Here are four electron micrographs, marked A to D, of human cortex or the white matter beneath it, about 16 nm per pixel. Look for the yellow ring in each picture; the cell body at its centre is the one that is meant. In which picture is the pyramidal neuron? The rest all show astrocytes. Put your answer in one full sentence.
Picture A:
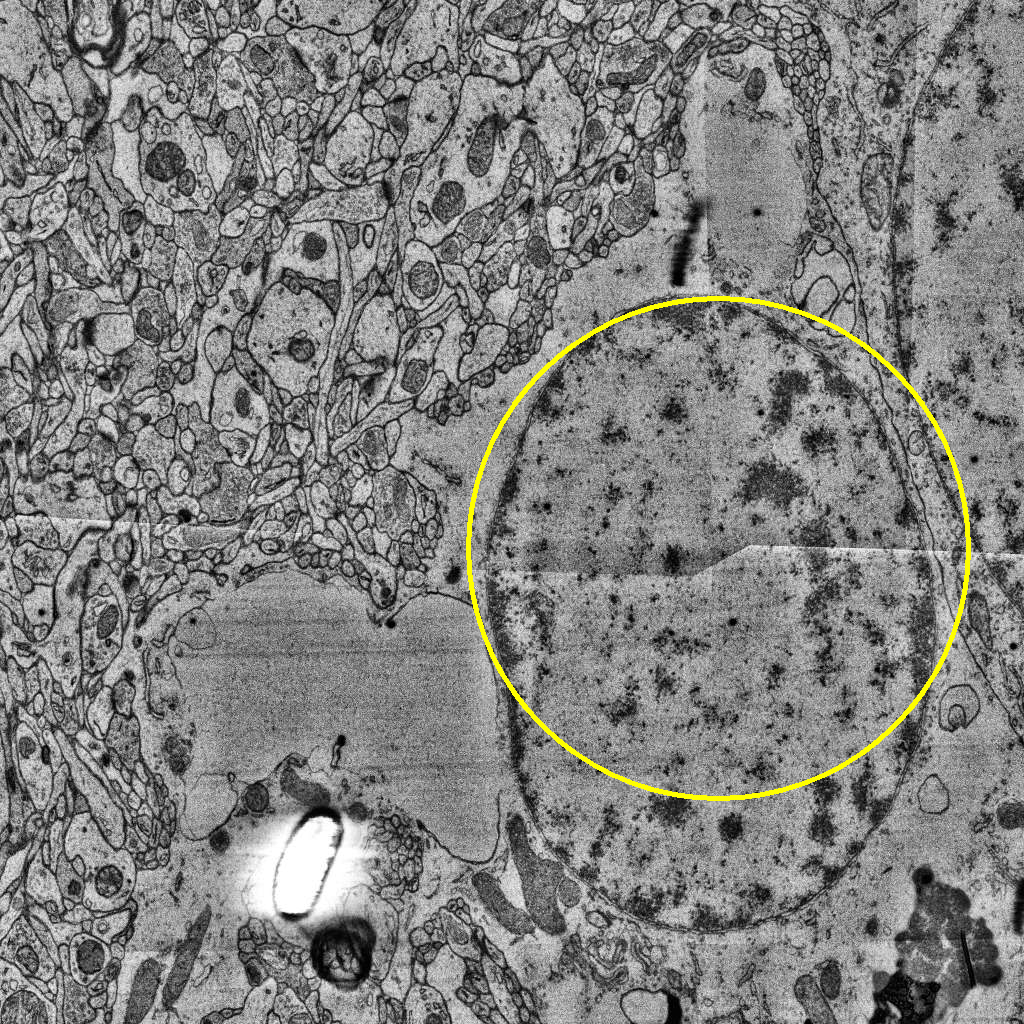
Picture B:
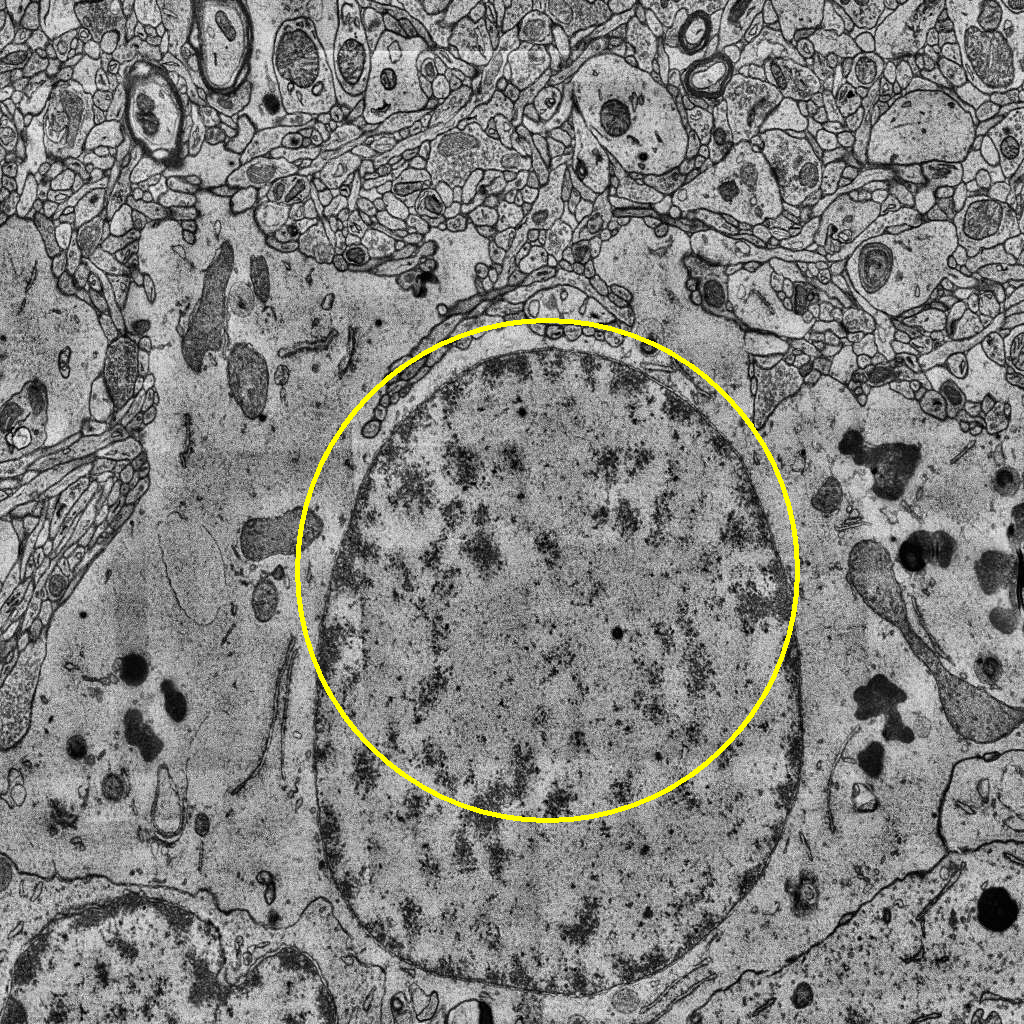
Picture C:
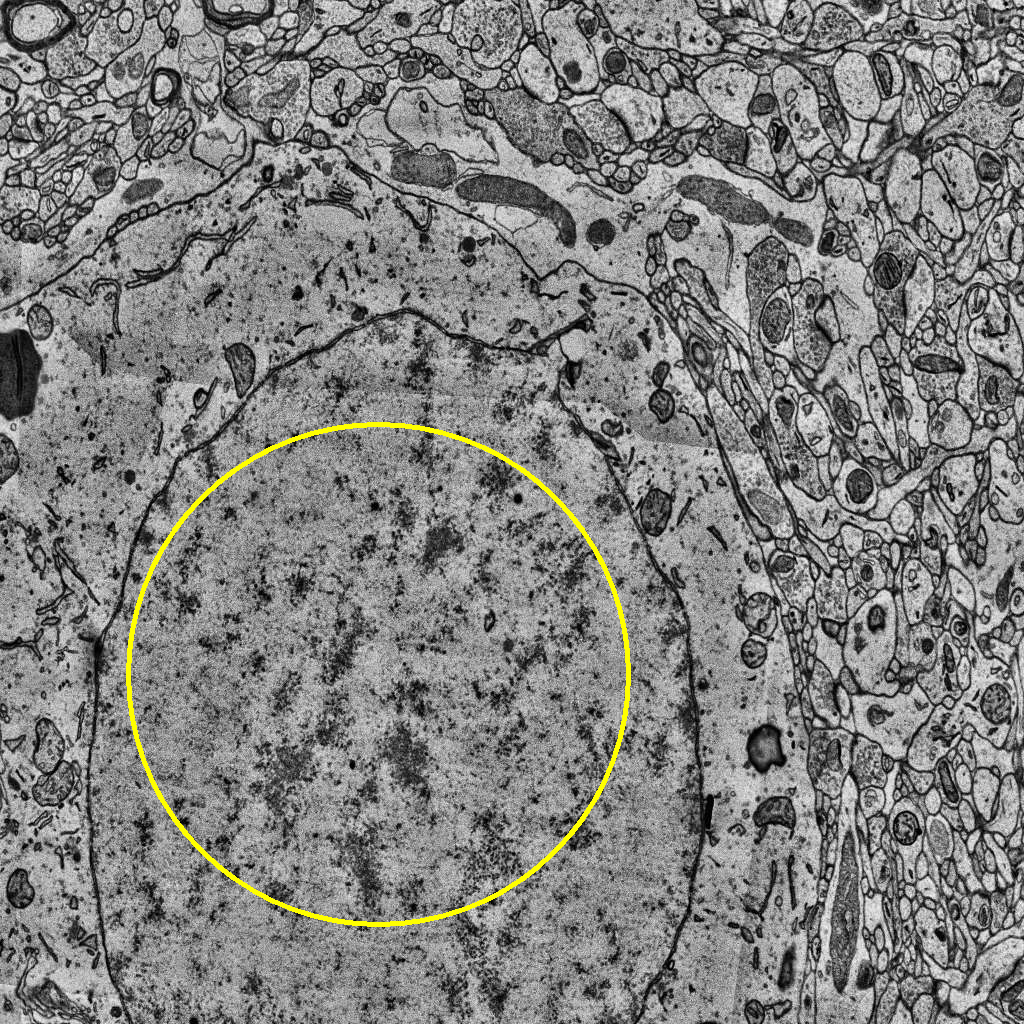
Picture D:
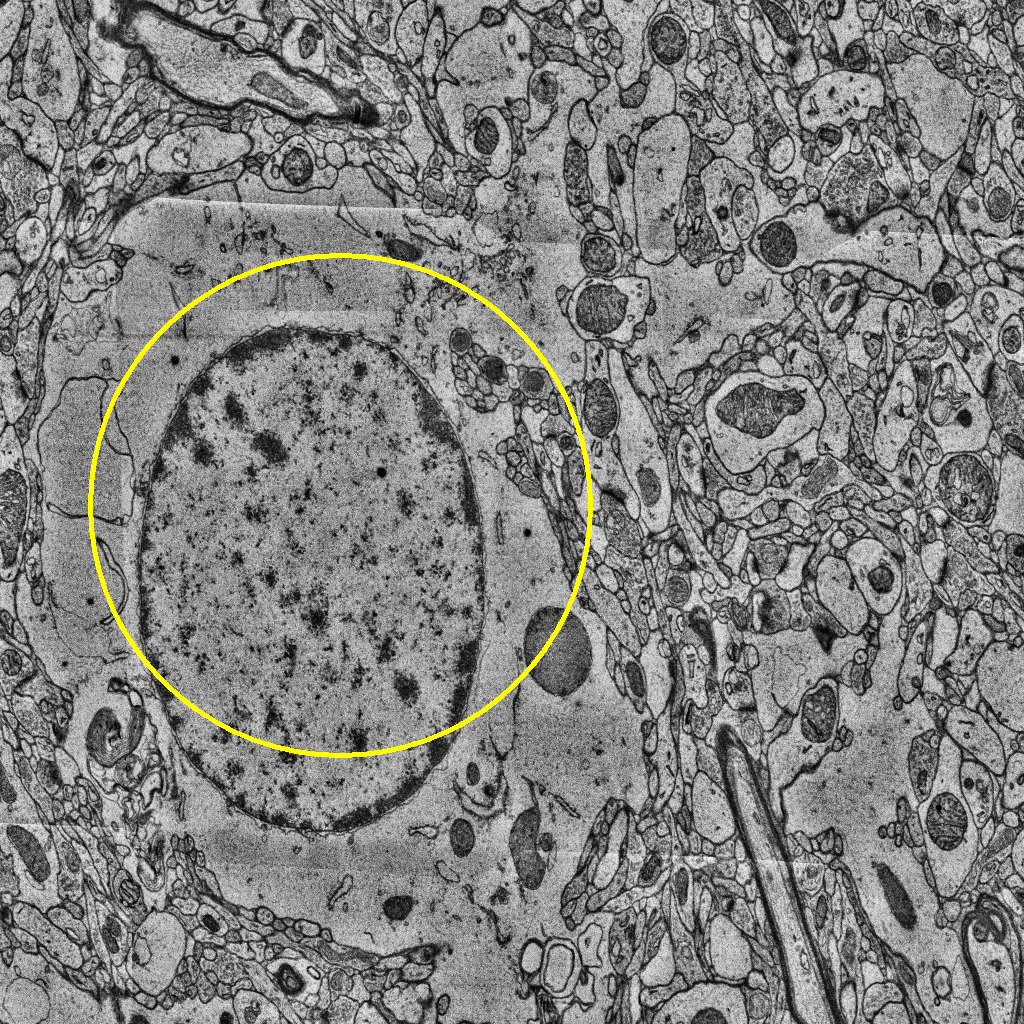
The pyramidal neuron is the one in picture C.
